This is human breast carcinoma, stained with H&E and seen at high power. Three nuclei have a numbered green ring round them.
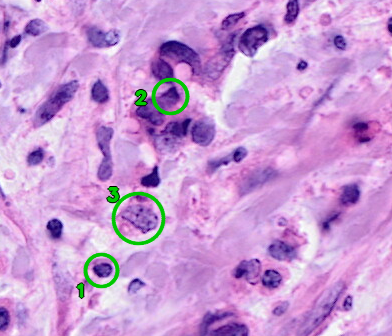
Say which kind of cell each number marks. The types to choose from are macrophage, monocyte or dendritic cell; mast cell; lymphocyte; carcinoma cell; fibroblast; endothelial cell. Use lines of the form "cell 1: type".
cell 1: lymphocyte
cell 2: carcinoma cell
cell 3: macrophage, monocyte or dendritic cell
